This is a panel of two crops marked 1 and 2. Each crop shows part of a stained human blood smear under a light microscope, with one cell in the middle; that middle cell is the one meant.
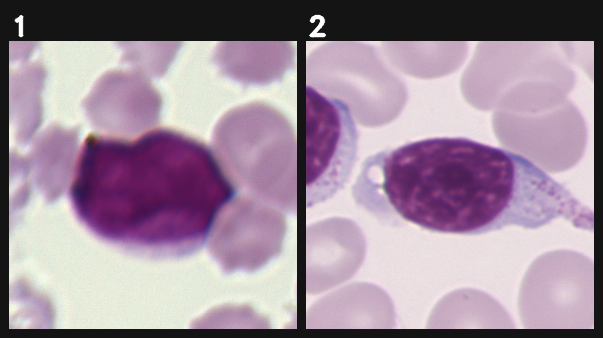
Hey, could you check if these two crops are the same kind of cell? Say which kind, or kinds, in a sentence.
No, enter a blast for crop 1 and a large granular lymphocyte for crop 2.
